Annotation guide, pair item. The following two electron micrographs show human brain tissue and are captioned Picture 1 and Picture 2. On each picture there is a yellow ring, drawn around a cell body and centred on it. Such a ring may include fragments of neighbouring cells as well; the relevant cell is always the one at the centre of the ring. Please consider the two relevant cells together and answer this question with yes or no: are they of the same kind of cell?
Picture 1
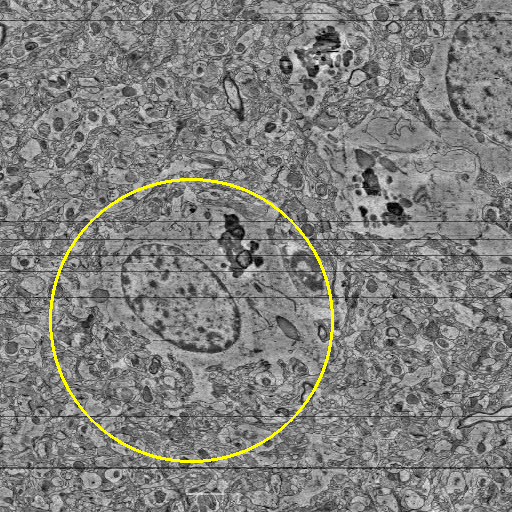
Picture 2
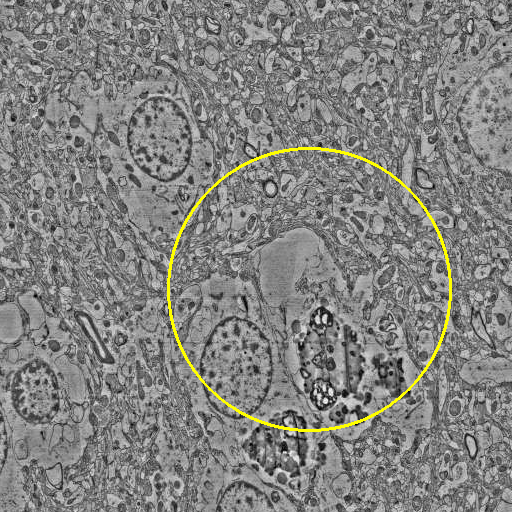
yes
